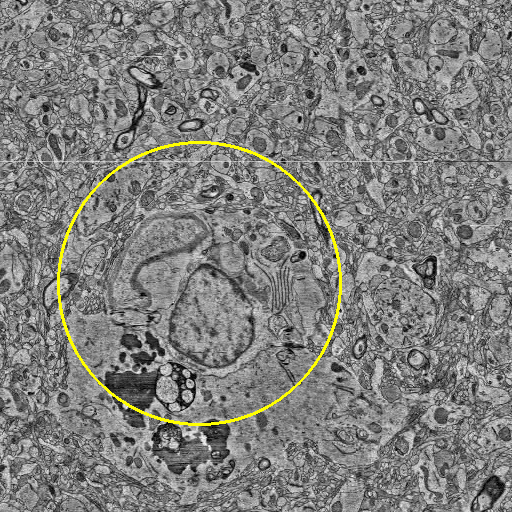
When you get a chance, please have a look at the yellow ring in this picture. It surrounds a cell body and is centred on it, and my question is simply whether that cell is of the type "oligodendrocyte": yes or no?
No, the cell is of another type.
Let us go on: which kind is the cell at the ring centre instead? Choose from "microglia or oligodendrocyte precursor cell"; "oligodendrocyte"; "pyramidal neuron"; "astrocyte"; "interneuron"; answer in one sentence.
At the centre of the ring sits an astrocyte.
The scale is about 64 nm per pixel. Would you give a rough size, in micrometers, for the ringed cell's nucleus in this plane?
The nucleus has a long axis of about 7 micrometres and a short axis of about 6 micrometres in this plane.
